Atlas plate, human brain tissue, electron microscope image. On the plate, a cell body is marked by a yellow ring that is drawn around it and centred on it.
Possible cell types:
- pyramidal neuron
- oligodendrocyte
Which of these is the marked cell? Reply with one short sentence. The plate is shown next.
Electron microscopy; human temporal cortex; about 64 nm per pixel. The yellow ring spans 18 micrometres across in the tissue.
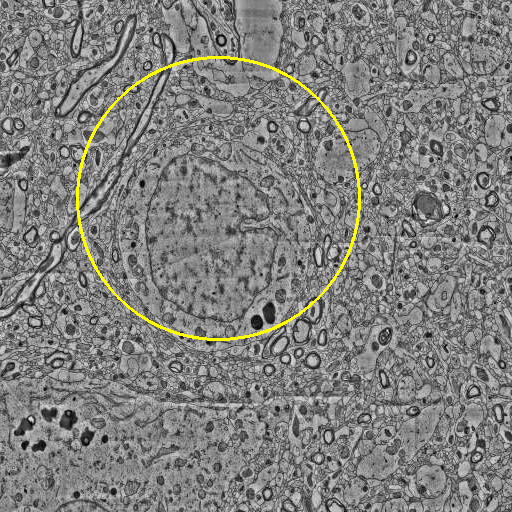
The marked cell is a pyramidal neuron.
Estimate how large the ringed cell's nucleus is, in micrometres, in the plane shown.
Approximately 11 micrometres long and 8 micrometres wide, in this plane.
